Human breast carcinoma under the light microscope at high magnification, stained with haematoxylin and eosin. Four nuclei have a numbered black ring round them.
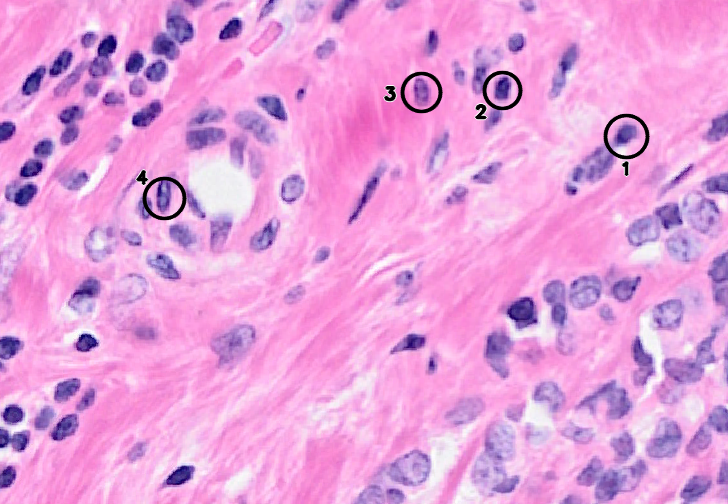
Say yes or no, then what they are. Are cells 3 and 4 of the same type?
No, cell 3 is a lymphocyte and cell 4 is an endothelial cell.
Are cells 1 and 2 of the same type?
Yes, both are lymphocytes.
